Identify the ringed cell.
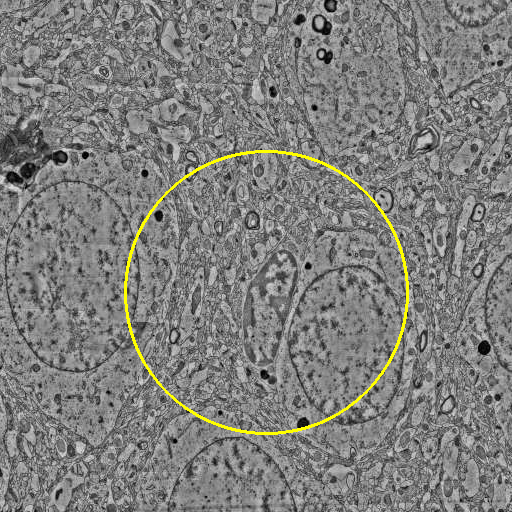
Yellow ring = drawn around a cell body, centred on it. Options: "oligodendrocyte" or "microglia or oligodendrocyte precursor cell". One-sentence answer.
What the ring is centred on is a microglial cell or oligodendrocyte precursor cell.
